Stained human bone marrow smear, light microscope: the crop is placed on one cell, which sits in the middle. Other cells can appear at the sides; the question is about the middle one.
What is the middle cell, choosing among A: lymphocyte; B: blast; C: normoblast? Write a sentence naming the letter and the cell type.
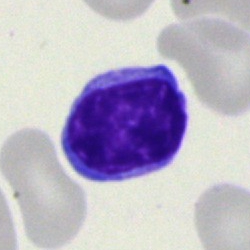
Option A holds up: the cell in the middle is a lymphocyte.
